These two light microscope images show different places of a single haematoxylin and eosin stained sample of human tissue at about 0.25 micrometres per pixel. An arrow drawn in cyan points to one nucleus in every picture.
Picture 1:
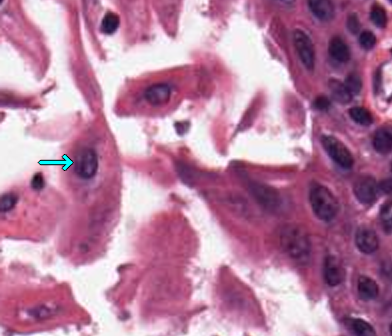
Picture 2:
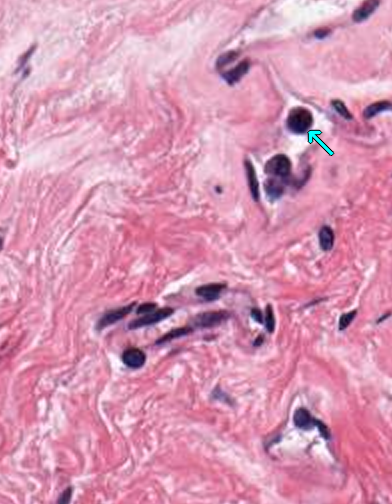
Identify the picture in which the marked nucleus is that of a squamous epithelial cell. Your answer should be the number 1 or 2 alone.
1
